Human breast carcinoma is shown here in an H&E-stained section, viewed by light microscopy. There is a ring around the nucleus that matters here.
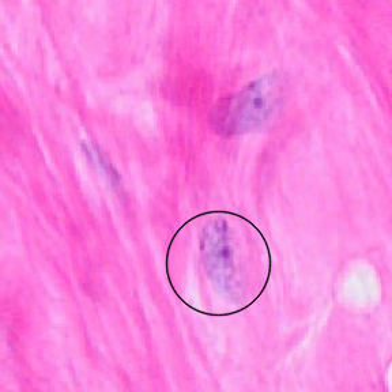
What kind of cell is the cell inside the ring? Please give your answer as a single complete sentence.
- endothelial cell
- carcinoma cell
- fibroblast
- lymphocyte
At the level of cell identity, the cell inside the ring is a fibroblast.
